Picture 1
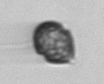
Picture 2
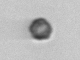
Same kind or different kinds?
Different: the first is Scrippsiella, the second Gephyrocapsa huxleyi.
